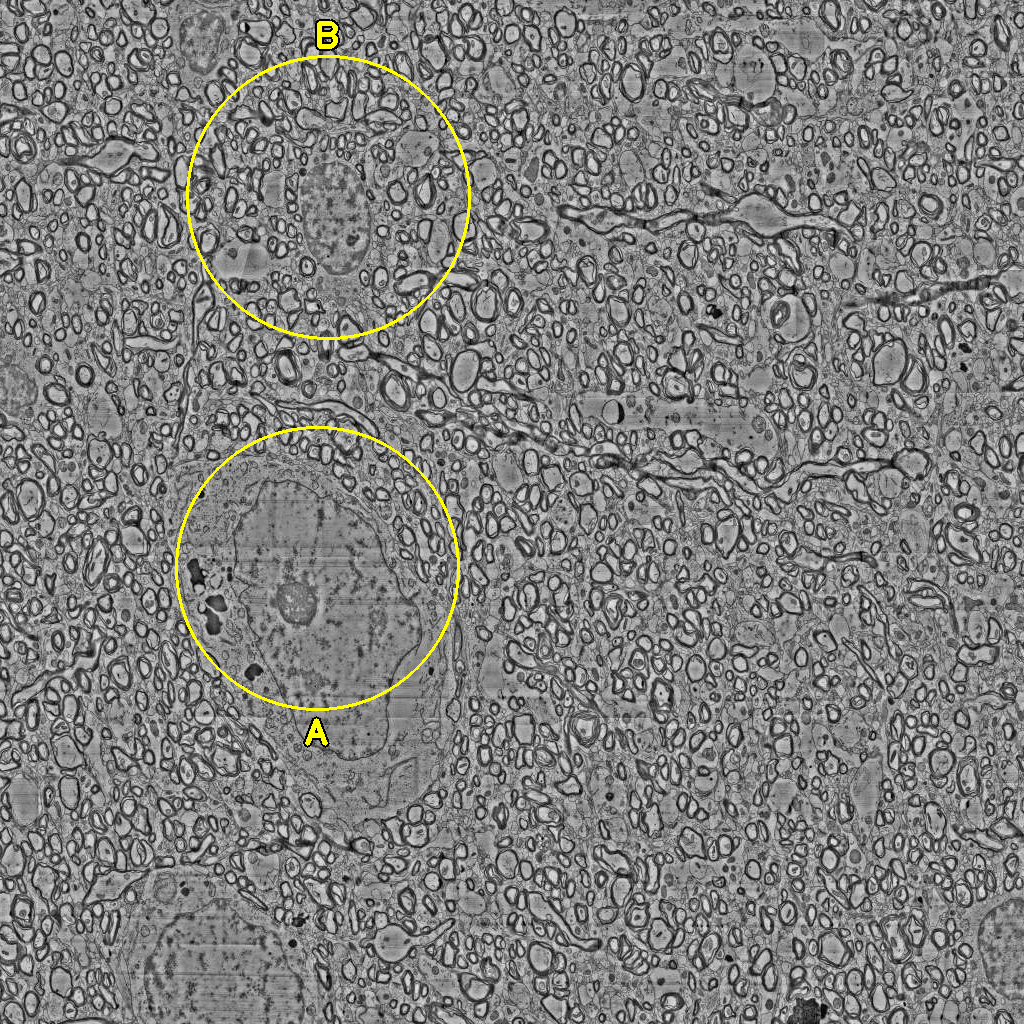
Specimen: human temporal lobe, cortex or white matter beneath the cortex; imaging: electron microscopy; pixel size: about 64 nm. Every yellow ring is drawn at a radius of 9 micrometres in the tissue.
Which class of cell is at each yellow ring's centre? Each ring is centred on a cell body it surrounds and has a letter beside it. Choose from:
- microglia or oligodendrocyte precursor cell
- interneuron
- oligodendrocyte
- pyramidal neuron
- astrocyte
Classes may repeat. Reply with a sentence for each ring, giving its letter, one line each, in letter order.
The ring lettered A is centred on a pyramidal neuron.
The ring lettered B is centred on an oligodendrocyte.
